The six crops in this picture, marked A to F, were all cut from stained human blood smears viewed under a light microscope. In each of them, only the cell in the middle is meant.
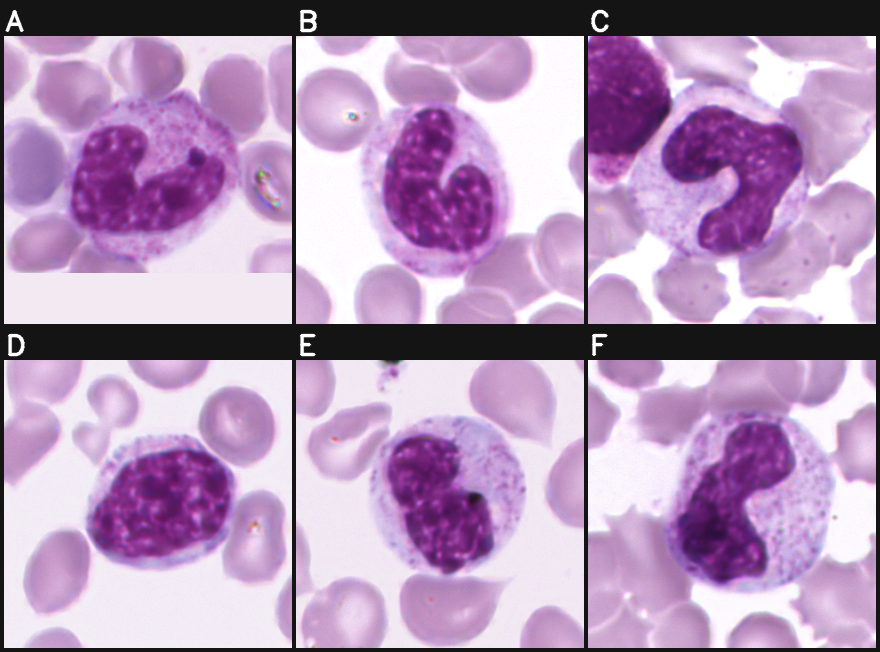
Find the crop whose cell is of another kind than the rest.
D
